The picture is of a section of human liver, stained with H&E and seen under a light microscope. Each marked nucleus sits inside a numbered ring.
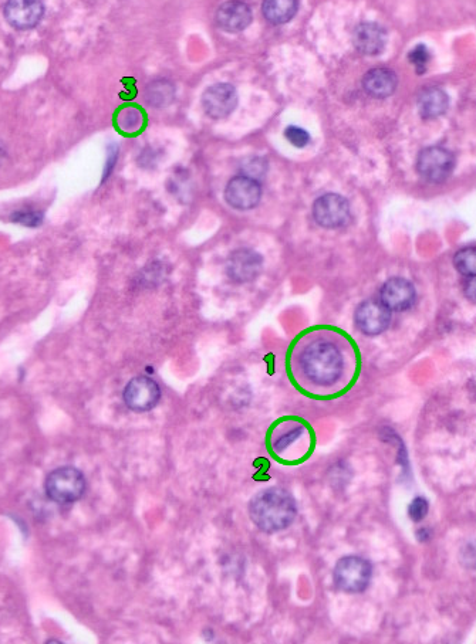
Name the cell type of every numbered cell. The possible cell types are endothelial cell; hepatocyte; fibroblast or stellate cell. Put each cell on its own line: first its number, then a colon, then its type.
1: hepatocyte
2: endothelial cell
3: fibroblast or stellate cell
